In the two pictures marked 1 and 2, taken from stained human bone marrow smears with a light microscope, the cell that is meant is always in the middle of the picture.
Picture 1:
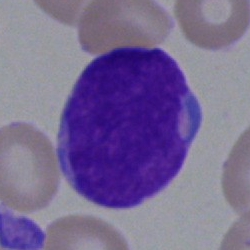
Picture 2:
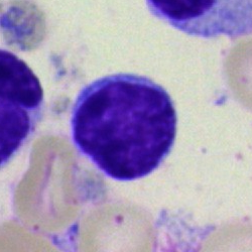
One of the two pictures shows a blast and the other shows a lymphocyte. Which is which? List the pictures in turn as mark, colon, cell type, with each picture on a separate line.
1: blast
2: lymphocyte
